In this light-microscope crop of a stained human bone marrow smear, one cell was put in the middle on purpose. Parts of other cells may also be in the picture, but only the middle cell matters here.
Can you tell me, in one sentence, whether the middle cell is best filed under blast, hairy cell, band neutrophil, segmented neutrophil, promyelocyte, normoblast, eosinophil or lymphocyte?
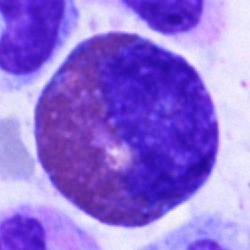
The central element of this crop is a cell, namely an eosinophil.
